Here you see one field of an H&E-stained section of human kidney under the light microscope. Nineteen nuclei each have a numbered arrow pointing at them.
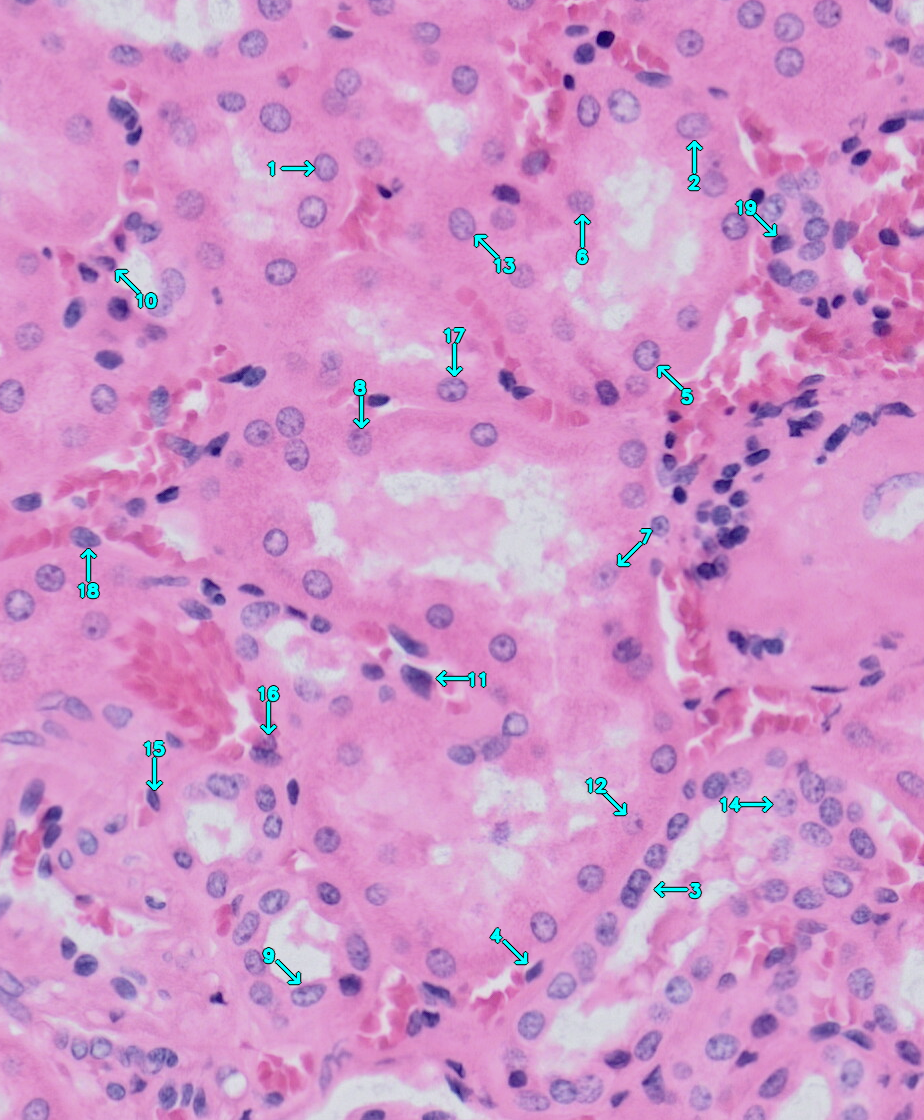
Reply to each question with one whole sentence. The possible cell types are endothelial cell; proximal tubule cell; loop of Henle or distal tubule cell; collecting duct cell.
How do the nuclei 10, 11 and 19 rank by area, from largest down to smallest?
The nuclei rank 11, 19, 10, from largest to smallest.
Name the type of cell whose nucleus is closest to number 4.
Number 4 lies closest to the nucleus of a collecting duct cell.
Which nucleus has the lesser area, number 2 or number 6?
It is nucleus 6; nucleus 2 has about 2 times its area.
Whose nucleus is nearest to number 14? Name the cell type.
The cell nearest to number 14 is a collecting duct cell.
